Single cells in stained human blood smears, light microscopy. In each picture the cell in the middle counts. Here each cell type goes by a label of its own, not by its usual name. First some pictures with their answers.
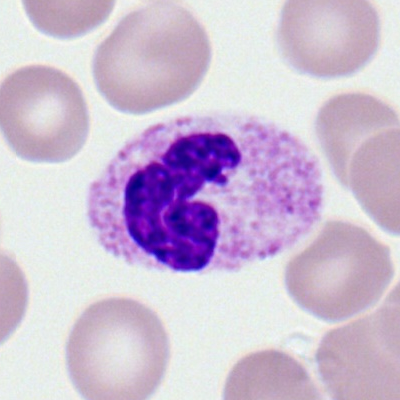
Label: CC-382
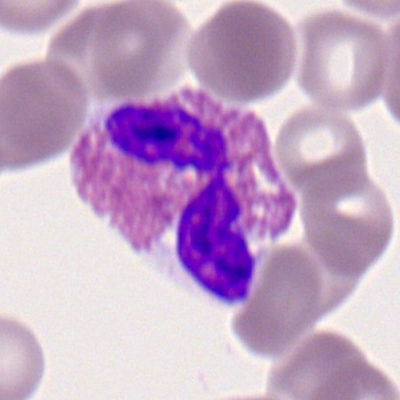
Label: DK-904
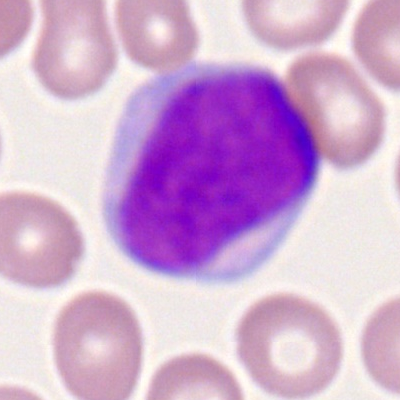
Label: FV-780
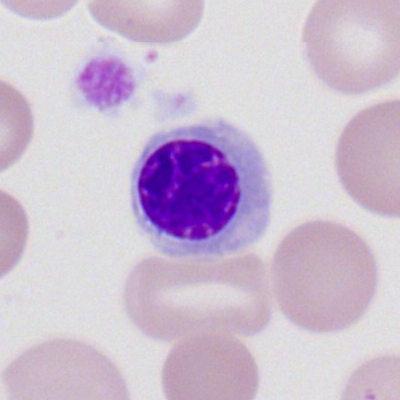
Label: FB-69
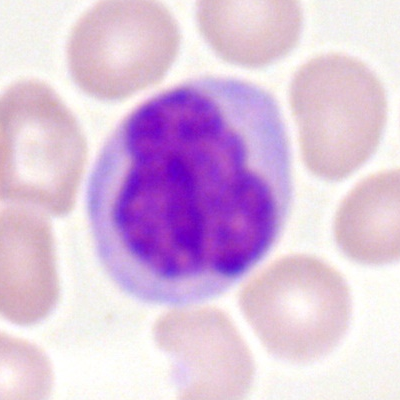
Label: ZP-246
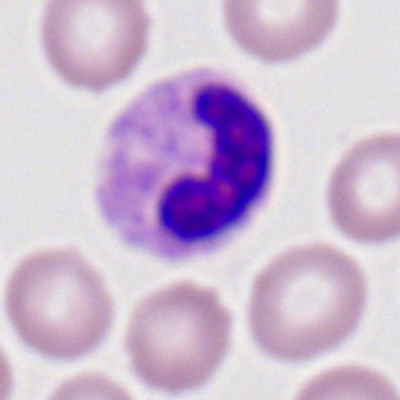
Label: CC-382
